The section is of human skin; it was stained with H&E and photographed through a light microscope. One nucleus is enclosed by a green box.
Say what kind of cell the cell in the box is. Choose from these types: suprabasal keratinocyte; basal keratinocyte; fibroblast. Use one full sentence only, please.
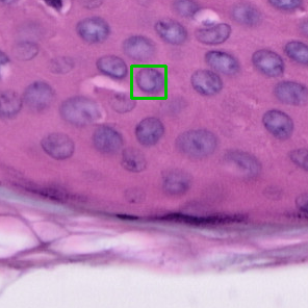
Recorded by type, the cell in the box is a suprabasal keratinocyte.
